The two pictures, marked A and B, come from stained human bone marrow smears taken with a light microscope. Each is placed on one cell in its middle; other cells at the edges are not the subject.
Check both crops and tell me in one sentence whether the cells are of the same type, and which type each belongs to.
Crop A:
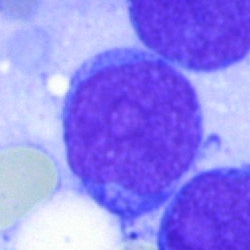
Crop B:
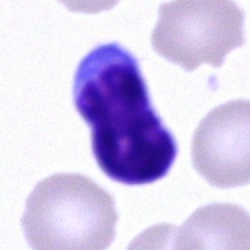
No, for crop A the cell is a blast, and for crop B it is a lymphocyte.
